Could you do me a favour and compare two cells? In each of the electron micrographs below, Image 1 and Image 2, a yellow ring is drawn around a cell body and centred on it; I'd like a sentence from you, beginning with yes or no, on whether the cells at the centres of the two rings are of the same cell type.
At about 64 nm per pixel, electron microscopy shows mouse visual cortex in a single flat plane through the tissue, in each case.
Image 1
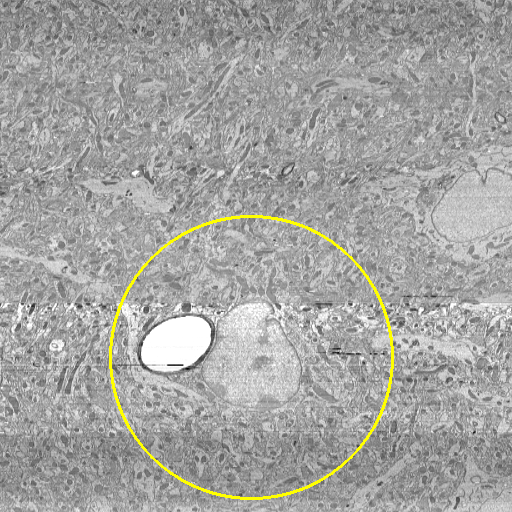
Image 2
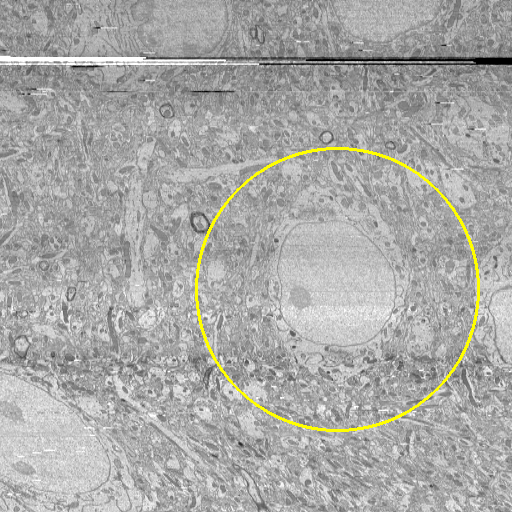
No, the two cells are of two cell types.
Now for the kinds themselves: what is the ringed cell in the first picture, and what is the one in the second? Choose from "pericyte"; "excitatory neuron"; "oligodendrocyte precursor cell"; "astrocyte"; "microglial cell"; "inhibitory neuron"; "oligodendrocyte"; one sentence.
Here the first cell is an astrocyte and the second cell is an excitatory neuron.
